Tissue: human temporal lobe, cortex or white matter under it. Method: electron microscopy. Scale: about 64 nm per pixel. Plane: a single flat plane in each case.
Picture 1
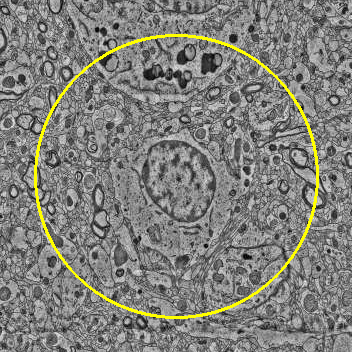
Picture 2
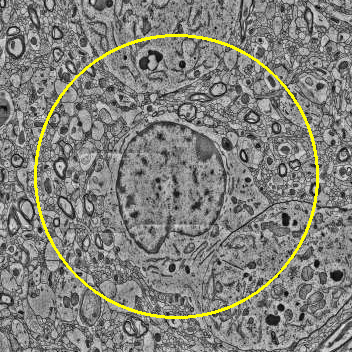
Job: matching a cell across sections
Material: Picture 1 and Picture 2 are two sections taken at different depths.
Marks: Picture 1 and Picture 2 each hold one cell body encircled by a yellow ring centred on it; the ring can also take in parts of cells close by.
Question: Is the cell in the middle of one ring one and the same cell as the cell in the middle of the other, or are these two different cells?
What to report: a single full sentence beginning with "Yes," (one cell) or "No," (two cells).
Yes, what the two rings mark is one cell.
